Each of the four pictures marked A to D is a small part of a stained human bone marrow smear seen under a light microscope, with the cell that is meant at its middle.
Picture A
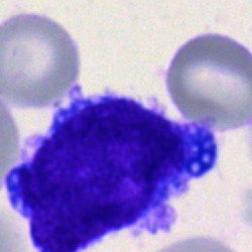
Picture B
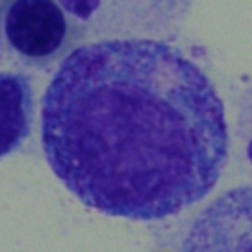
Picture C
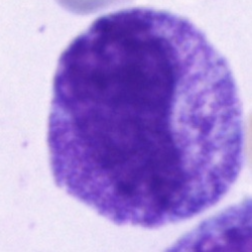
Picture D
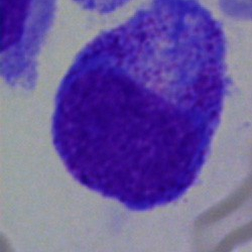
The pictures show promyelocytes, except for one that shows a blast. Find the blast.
A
